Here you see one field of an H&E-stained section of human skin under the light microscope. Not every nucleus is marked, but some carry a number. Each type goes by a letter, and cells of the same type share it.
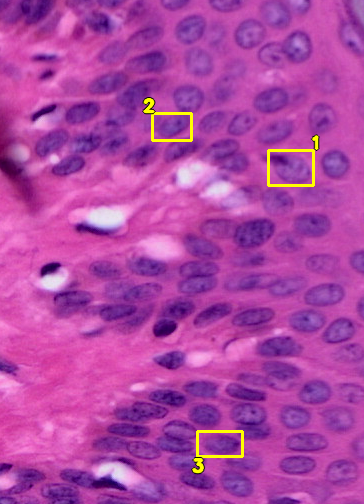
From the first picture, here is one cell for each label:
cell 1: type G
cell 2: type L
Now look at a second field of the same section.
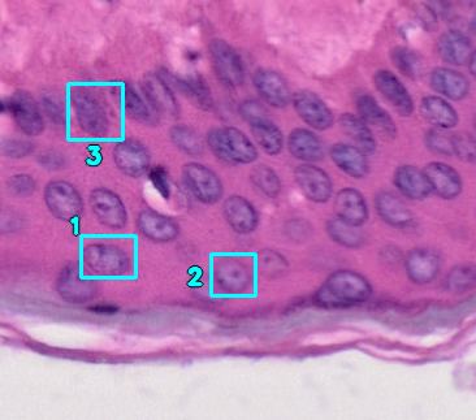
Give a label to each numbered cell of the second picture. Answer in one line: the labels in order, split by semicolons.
type G; type G; type L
